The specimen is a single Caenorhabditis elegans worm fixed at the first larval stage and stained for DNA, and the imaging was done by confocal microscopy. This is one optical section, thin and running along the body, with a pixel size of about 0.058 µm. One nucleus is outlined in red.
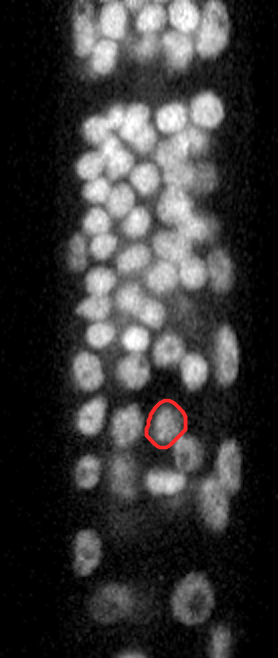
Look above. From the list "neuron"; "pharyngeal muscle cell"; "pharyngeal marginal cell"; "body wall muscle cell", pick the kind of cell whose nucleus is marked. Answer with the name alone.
pharyngeal marginal cell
